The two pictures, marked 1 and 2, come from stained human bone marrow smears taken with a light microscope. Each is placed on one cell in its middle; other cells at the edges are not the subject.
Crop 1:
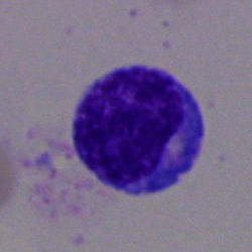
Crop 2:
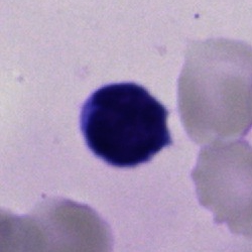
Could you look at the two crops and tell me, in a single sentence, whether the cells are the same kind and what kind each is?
No, in crop 1 the cell is a blast, and in crop 2 it is a lymphocyte.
